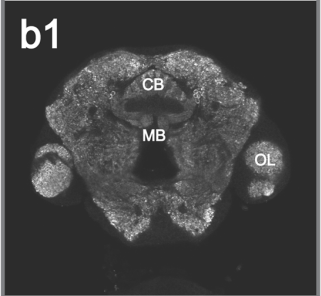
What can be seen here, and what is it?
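A frontal optical section of an insect brain in which labelled neuropil appears grey to white on a dark background. At each side, separated from the central mass by a narrow gap, is a rounded, brightly labelled lobe. The lower part of the section shows paired dense neuropil regions. Fine punctate labelling gives the neuropil a granular texture, and no individual cell bodies are outlined.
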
